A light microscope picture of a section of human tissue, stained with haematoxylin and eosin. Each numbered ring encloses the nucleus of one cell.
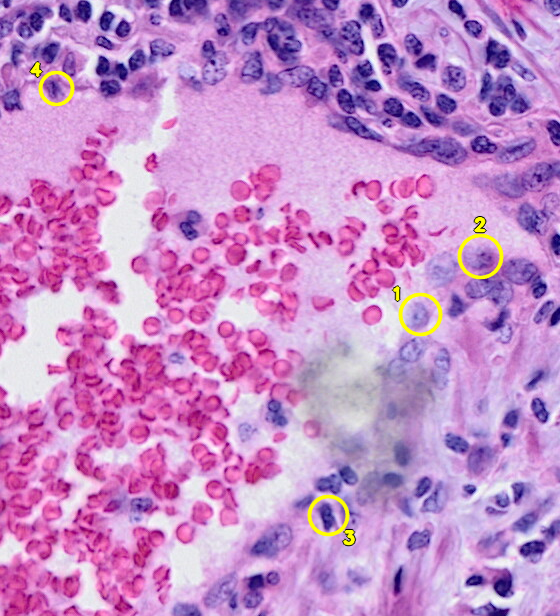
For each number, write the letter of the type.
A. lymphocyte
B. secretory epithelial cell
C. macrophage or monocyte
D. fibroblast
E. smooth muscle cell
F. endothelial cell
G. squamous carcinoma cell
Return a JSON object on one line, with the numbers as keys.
{"1": "F", "2": "F", "3": "A", "4": "F"}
